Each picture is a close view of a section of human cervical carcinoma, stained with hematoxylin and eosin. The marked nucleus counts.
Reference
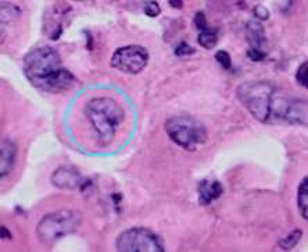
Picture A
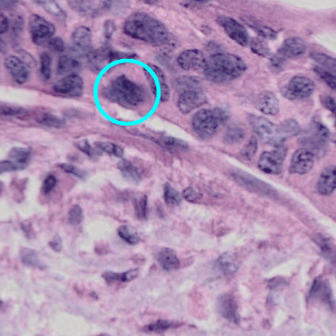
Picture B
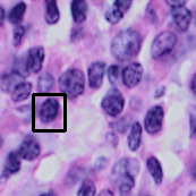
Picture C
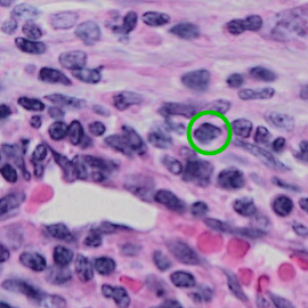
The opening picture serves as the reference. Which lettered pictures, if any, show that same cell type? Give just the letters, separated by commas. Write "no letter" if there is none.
A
